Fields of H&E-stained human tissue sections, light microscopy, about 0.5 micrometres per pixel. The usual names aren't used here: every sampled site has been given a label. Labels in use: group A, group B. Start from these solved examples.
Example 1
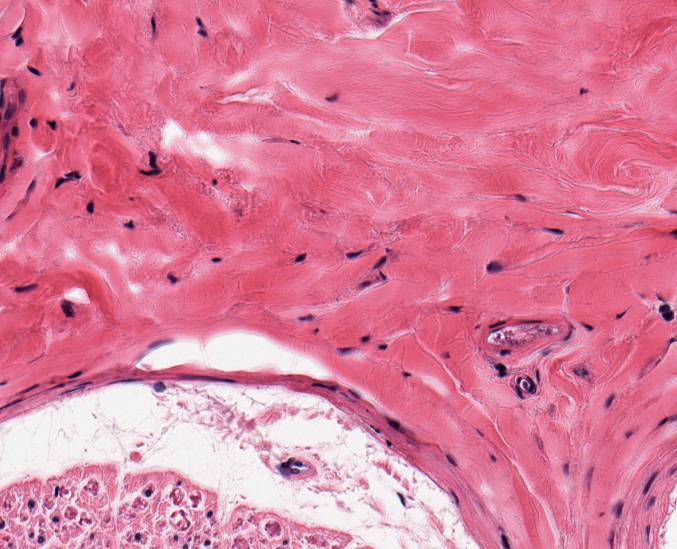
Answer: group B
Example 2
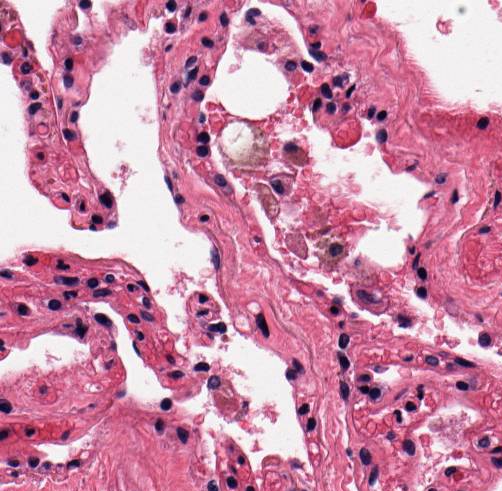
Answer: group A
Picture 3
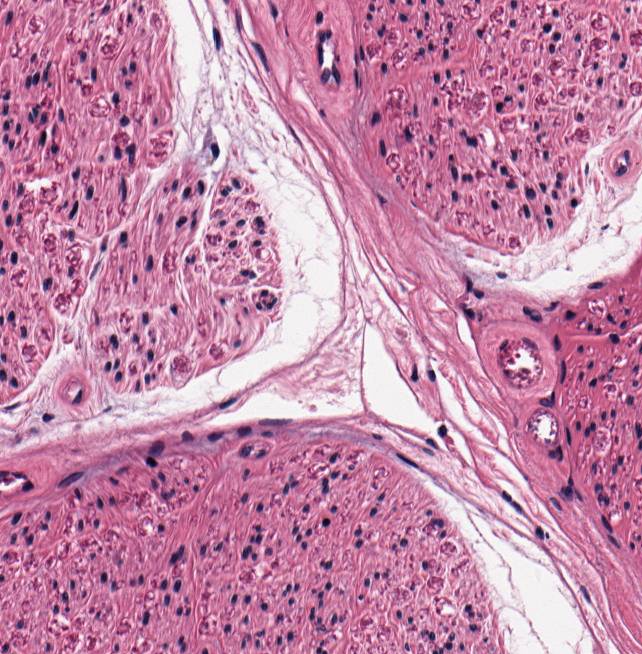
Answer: group B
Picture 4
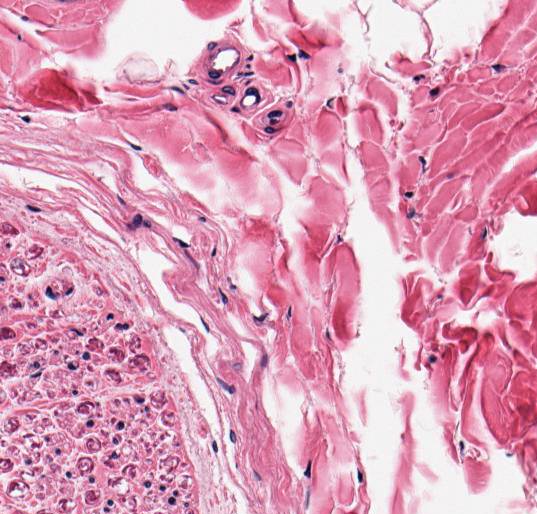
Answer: group B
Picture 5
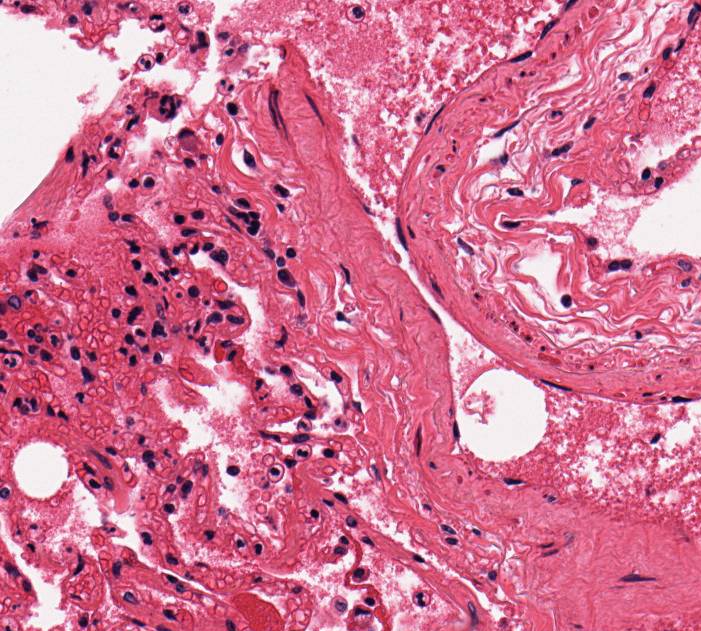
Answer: group A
